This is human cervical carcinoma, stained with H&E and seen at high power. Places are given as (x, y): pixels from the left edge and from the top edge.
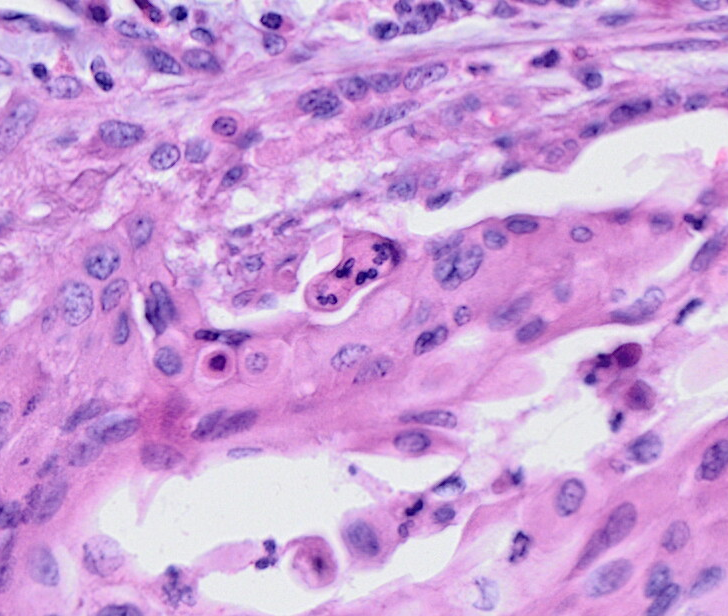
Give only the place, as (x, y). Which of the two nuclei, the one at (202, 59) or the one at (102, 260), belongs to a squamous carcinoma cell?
(102, 260)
